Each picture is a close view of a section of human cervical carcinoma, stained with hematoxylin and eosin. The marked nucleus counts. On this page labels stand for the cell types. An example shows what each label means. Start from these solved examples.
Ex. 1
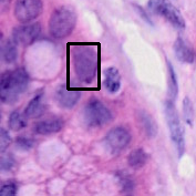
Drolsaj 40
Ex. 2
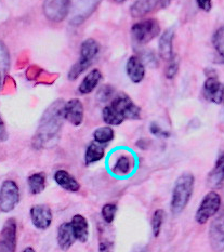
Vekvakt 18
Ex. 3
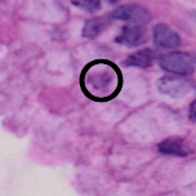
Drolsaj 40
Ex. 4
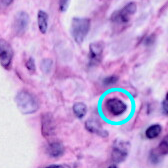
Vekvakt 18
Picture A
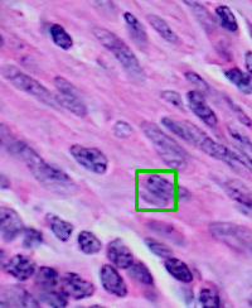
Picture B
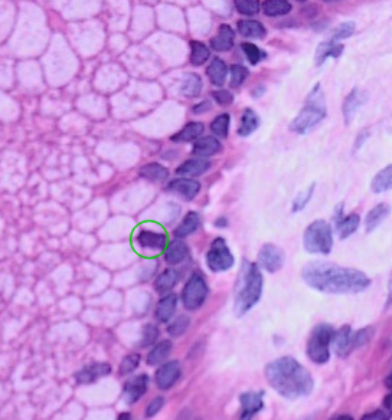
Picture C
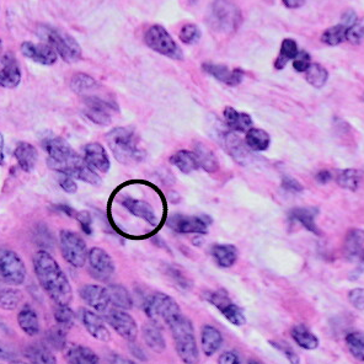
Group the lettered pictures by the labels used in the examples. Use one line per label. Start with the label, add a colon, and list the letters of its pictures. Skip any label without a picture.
Drolsaj 40: B
Vekvakt 18: A, C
